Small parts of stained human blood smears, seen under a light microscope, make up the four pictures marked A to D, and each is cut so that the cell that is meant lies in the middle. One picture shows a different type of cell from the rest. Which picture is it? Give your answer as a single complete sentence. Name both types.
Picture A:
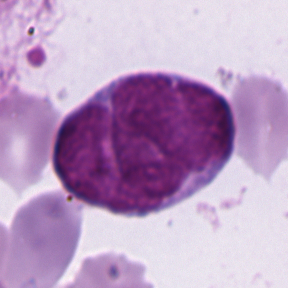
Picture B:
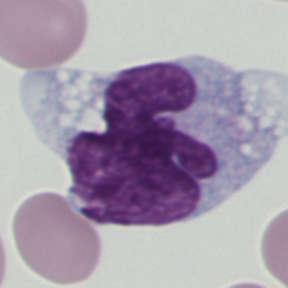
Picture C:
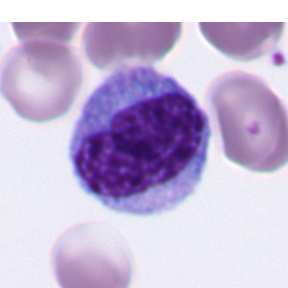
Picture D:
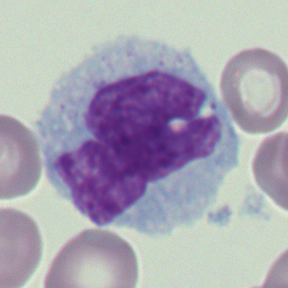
Unlike the rest, which show monocytes, picture A shows a myeloblast.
